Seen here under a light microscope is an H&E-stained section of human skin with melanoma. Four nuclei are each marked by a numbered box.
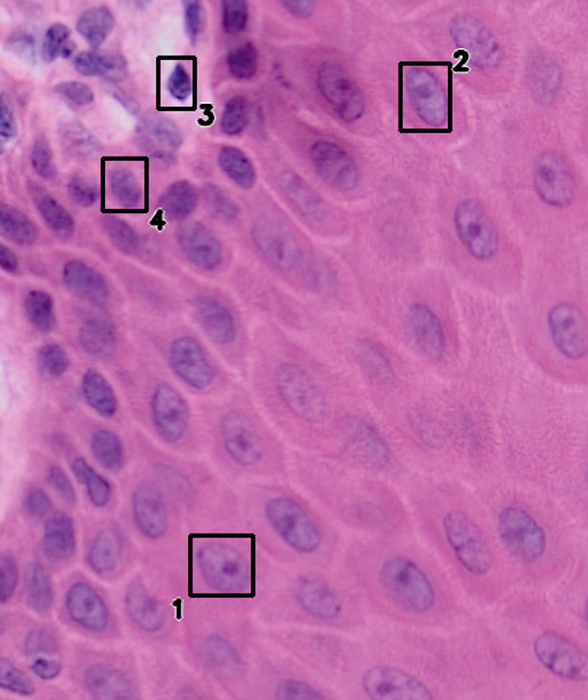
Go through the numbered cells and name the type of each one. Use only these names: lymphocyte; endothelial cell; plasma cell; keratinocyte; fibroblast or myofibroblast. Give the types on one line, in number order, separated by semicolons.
keratinocyte; keratinocyte; lymphocyte; keratinocyte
